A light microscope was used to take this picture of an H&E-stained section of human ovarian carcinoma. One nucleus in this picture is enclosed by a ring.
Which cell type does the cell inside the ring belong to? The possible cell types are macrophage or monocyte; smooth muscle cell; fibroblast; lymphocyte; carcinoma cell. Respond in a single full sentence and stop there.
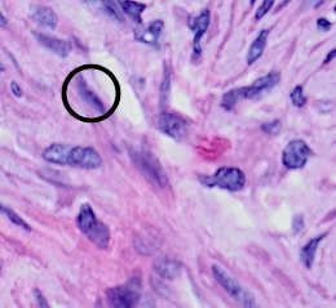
At the level of cell identity, the cell inside the ring is a fibroblast.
